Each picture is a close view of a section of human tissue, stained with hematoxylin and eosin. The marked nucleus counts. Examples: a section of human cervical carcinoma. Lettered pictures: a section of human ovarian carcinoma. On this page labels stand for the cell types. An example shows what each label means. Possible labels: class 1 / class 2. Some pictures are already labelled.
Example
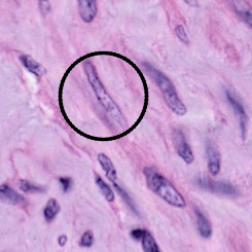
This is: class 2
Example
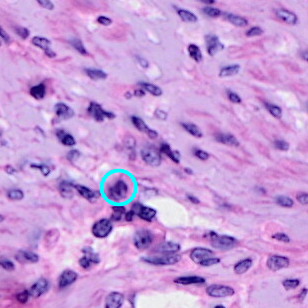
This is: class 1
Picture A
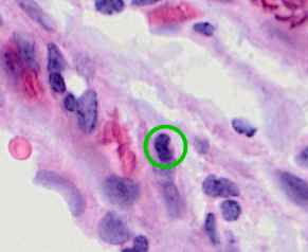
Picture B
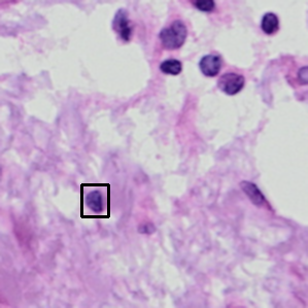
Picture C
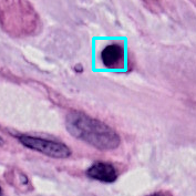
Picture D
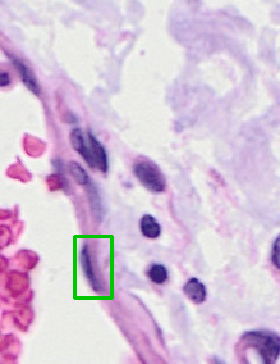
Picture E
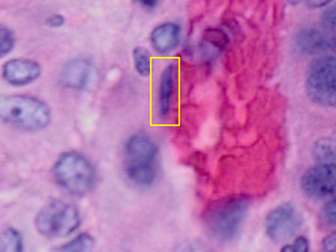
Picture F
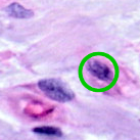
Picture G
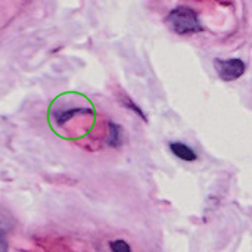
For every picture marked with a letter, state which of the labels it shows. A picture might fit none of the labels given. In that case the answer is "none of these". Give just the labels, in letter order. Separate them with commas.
class 1, class 1, class 1, none of these, none of these, none of these, none of these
